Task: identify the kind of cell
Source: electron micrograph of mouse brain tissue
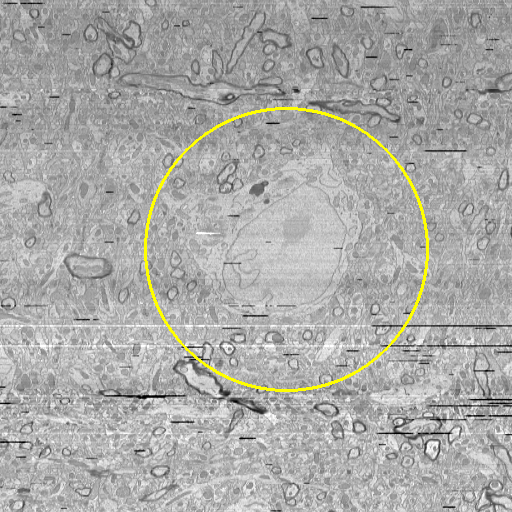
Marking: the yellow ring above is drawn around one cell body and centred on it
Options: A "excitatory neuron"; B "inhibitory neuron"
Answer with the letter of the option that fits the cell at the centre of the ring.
A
